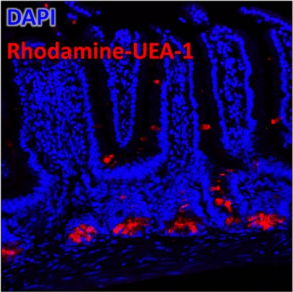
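This is a section of the small intestine showing villi above and crypts below, with Paneth cell granules at the crypt bottoms. The villi are long finger-like projections covered by an epithelial lining of densely packed blue nuclei. Below them the crypts extend down toward the deeper wall. Bright red clusters sit at the bases of the crypts, each among the blue nuclei of the crypt epithelium. Beneath the crypts lies a band of more sparsely spaced nuclei of the deeper wall.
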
